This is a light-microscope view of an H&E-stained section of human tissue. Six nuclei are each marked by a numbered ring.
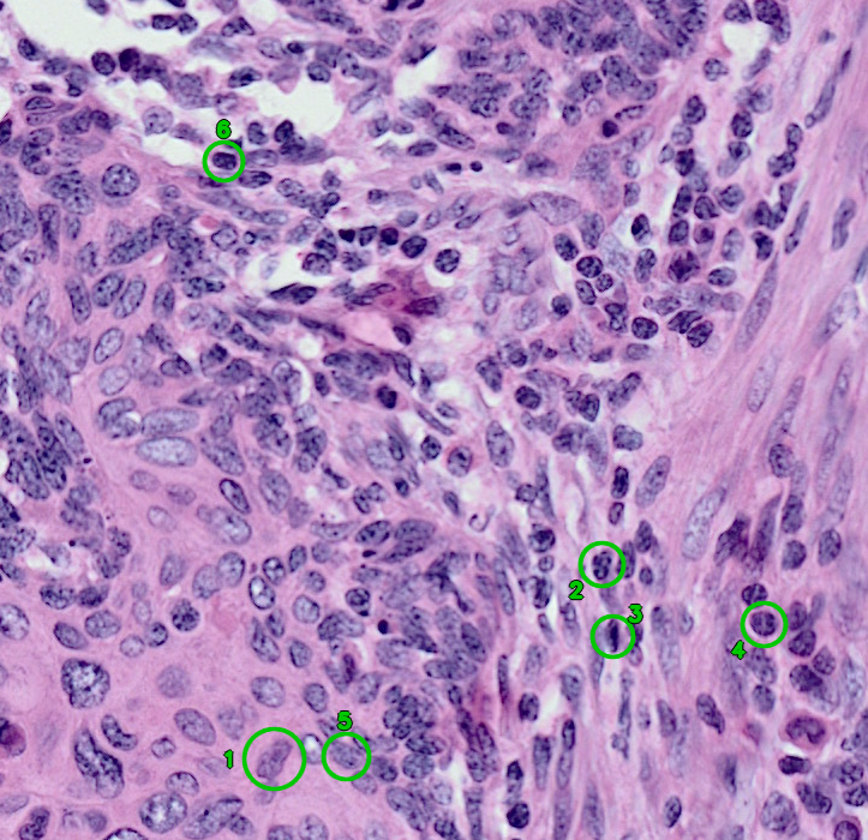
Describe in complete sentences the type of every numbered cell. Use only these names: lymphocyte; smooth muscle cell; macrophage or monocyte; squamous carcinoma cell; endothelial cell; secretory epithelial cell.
Cells 1 and 5 are squamous carcinoma cells. Cells 2, 3, 4 and 6 are lymphocytes.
